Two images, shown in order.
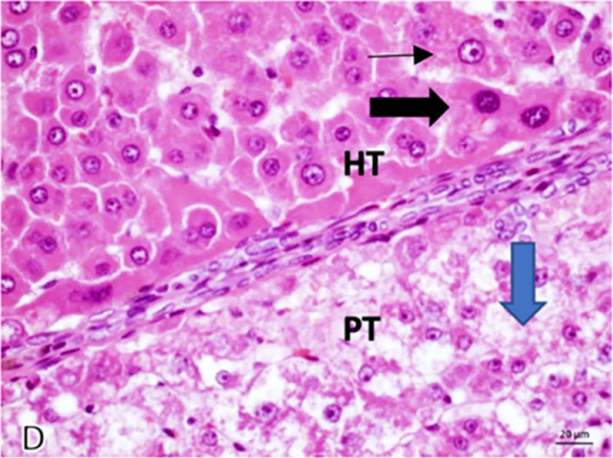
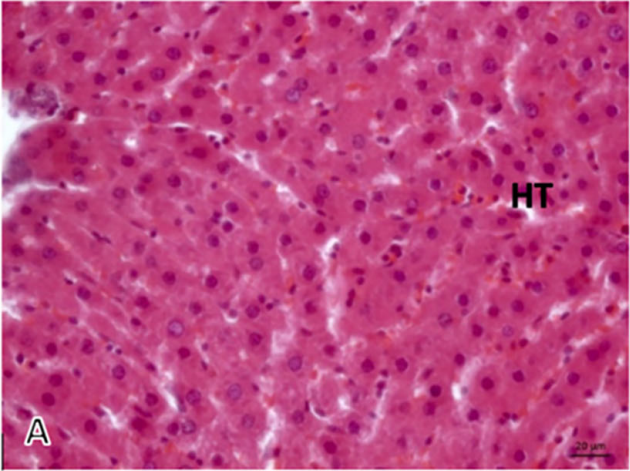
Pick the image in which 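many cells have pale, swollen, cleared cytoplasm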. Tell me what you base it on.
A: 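The first image. First image: the lower area has cells with pale, cleared cytoplasm. Second image: cells have uniform pink cytoplasm throughout.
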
